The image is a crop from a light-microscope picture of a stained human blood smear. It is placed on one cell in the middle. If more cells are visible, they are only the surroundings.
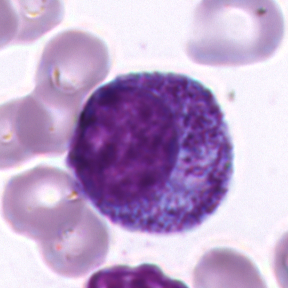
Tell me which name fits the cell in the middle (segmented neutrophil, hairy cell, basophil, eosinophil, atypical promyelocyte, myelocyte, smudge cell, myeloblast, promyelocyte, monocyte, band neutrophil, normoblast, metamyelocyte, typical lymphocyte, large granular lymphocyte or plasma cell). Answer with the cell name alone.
promyelocyte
